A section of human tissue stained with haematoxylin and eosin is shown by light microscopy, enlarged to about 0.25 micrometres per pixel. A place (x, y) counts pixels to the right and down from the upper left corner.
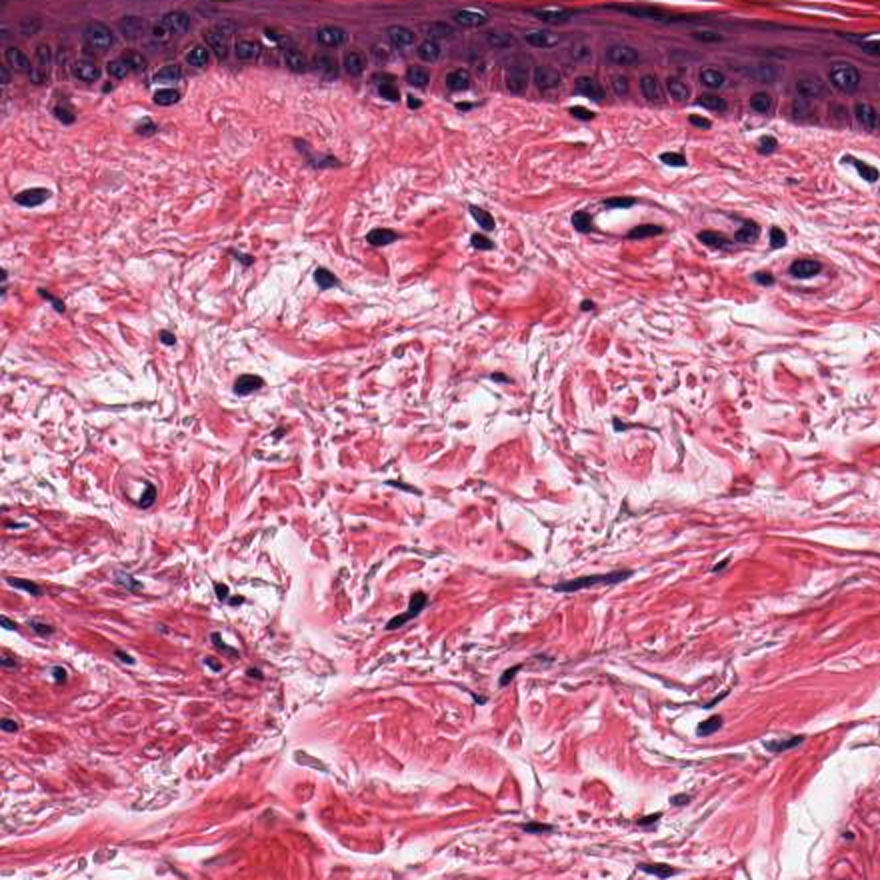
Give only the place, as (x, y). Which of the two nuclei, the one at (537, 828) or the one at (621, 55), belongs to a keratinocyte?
(621, 55)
